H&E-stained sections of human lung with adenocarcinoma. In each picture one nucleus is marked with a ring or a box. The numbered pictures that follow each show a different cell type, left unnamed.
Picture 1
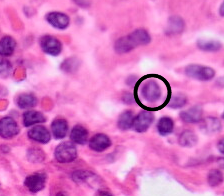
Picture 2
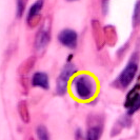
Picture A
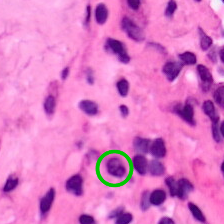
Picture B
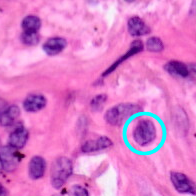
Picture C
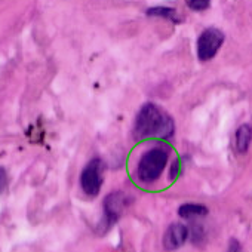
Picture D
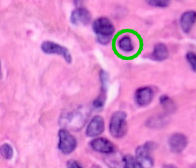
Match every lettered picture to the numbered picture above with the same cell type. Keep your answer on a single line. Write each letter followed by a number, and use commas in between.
A 2, B 1, C 2, D 1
